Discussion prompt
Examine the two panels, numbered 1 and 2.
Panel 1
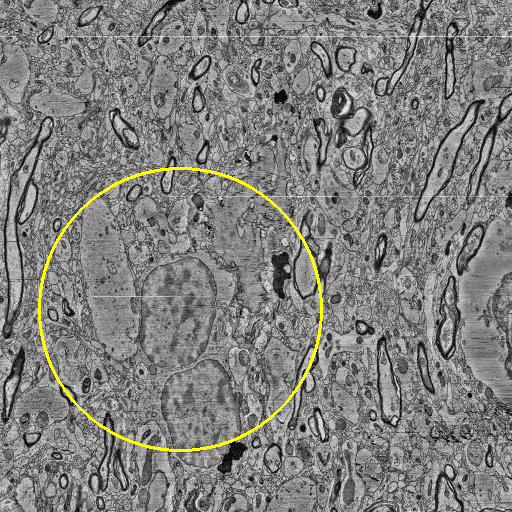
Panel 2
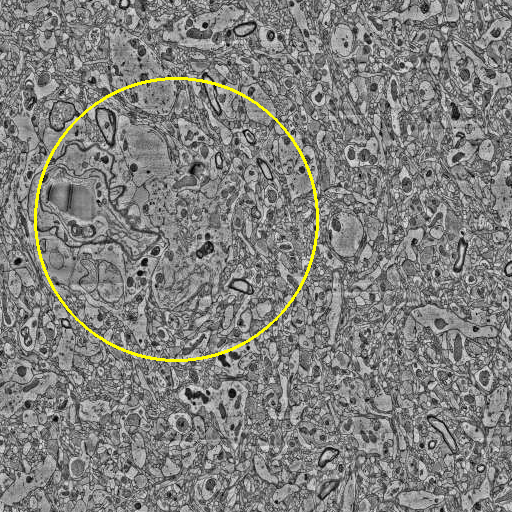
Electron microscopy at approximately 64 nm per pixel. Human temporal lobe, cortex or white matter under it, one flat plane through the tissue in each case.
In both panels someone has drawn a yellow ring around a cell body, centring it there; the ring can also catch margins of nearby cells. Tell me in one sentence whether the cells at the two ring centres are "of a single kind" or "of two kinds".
Taken together, the two cells centred in the rings of Panels 1 and 2 are of two kinds.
